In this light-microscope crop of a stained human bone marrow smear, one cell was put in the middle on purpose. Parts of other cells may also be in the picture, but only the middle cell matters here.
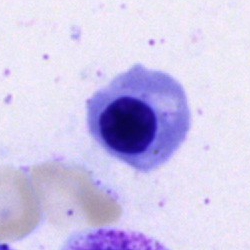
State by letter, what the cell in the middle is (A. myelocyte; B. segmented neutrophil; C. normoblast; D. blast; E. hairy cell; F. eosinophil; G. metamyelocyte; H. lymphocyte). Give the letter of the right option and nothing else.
C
